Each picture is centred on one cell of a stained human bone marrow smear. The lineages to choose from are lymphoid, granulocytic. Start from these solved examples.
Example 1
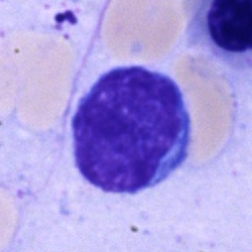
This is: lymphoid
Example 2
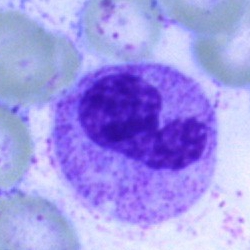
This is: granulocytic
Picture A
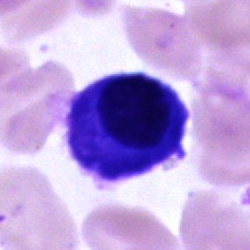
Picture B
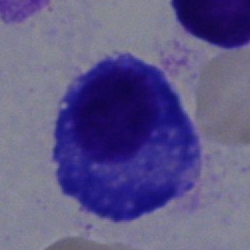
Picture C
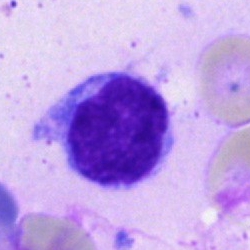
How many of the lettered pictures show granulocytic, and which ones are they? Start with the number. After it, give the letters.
0, none of them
